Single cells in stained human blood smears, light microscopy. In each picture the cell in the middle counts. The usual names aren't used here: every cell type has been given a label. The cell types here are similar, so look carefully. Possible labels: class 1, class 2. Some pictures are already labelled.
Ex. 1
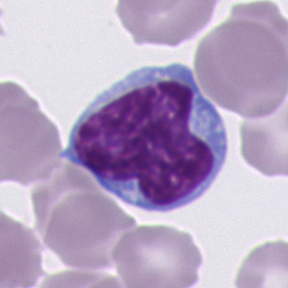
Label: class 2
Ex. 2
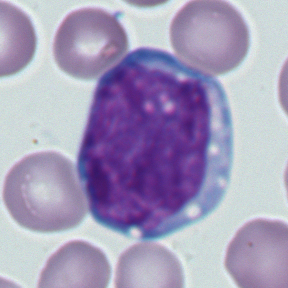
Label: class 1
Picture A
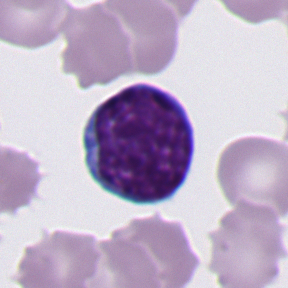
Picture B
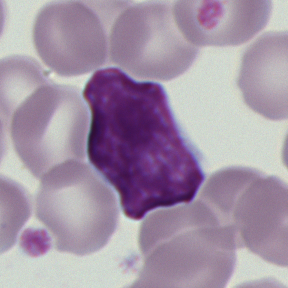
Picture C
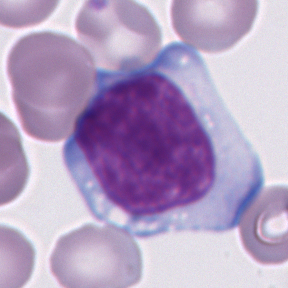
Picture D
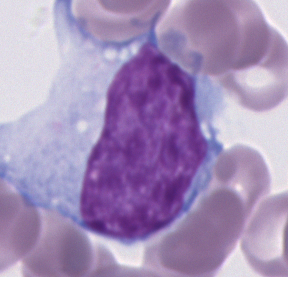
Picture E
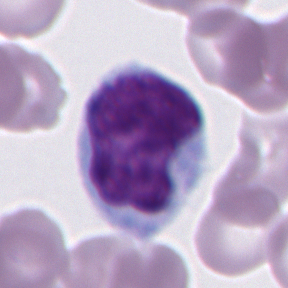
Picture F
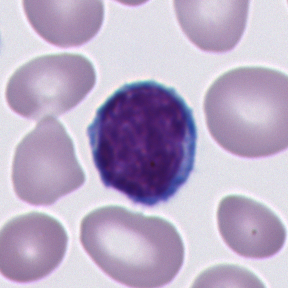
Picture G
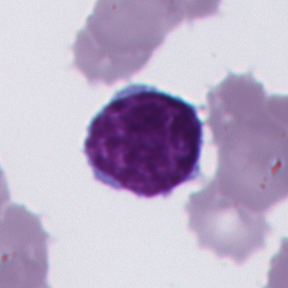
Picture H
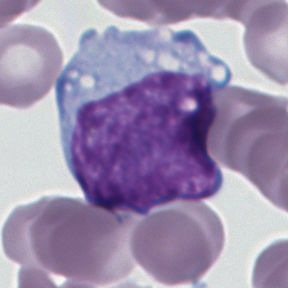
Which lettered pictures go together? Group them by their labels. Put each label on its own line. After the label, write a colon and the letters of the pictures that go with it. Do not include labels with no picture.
class 1: C, D, H
class 2: A, B, E, F, G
